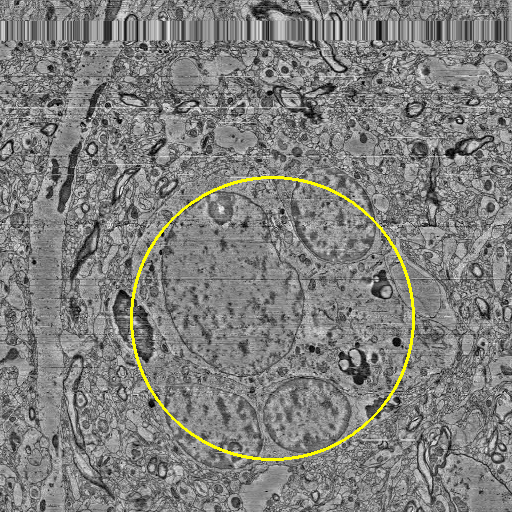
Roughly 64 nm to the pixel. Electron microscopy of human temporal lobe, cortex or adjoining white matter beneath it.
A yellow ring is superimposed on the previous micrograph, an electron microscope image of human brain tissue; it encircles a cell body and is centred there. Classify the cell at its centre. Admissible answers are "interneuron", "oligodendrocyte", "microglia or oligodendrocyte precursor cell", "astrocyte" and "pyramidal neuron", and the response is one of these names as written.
pyramidal neuron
